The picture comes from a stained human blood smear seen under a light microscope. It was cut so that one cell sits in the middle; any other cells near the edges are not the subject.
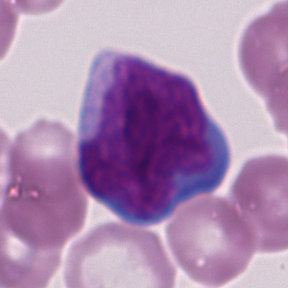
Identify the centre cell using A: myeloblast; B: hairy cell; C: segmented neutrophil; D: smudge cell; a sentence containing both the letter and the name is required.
Option A gets it right: the cell in the middle is a myeloblast.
